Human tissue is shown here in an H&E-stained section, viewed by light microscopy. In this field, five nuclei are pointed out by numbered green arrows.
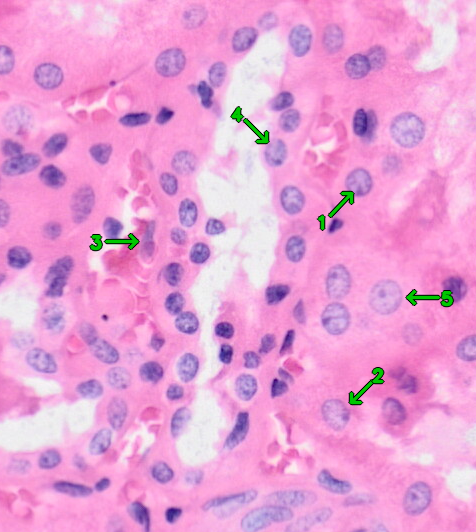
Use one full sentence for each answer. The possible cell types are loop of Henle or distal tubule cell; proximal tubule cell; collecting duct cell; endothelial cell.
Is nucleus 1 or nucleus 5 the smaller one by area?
Number 1 is smaller, since number 5 takes up about 1.5 times as much area.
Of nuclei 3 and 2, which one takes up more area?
Number 2 is larger; its area is about 2 times that of number 3.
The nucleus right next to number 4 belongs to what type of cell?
Closest to number 4 lies the nucleus of a collecting duct cell.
